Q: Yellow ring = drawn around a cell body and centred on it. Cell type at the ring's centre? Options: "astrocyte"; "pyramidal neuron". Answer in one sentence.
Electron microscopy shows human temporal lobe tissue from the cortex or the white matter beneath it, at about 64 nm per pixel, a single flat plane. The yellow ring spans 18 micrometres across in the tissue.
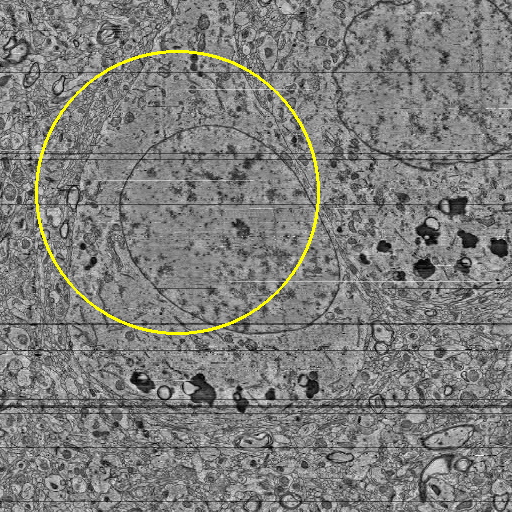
Centred in the ring is a pyramidal neuron.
